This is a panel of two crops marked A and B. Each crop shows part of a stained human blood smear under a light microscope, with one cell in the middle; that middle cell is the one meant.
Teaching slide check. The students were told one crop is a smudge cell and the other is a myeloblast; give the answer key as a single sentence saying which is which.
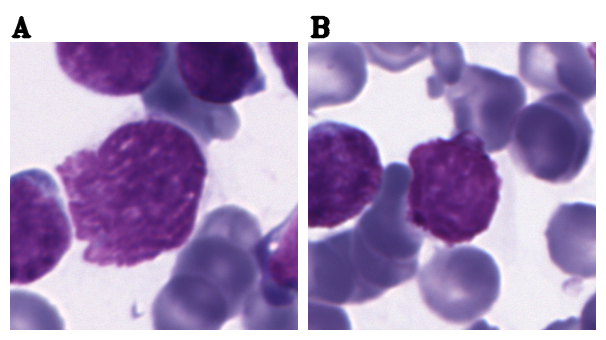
Crop A is classified as a smudge cell, and crop B as a myeloblast.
